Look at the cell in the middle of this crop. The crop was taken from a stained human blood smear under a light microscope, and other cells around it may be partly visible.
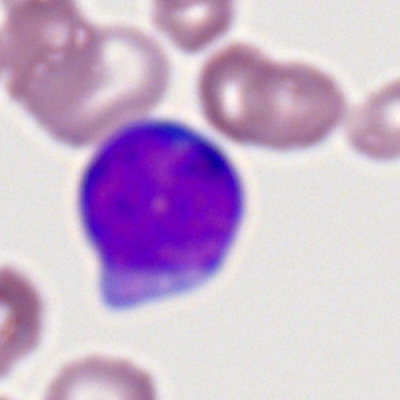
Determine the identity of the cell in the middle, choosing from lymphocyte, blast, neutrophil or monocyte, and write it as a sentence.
The cell featured at the centre of this crop is a blast.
